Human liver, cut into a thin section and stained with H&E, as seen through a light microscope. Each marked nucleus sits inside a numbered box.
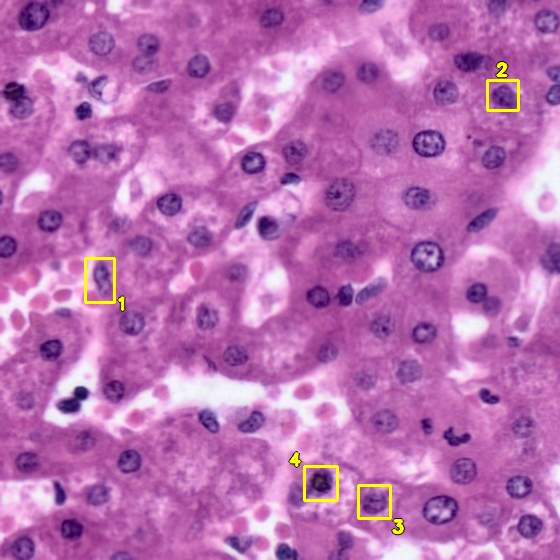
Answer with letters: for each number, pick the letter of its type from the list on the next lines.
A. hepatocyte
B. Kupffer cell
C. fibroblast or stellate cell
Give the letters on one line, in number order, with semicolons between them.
B; A; A; A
